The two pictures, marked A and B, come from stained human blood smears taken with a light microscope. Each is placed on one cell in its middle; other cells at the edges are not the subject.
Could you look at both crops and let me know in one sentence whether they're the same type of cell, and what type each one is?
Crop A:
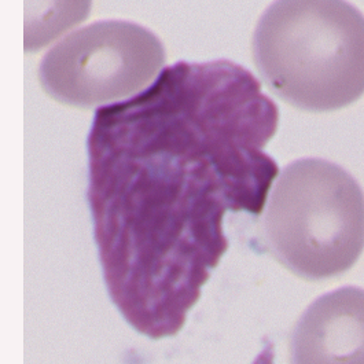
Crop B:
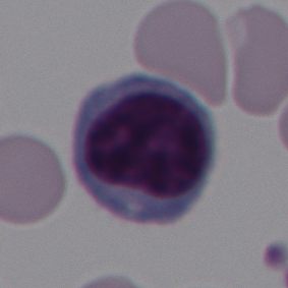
No, crop A displays a smudge cell and crop B displays a typical lymphocyte.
